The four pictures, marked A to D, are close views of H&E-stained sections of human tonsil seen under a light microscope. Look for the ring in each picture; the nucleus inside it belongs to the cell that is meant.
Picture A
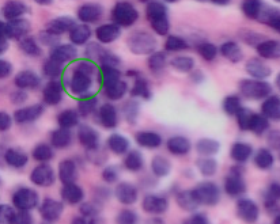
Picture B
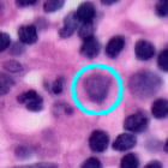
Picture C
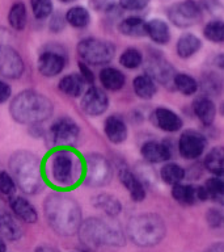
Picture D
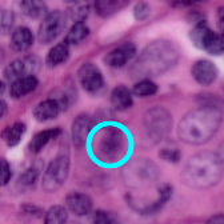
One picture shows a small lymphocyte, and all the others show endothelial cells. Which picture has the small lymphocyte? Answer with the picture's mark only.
A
